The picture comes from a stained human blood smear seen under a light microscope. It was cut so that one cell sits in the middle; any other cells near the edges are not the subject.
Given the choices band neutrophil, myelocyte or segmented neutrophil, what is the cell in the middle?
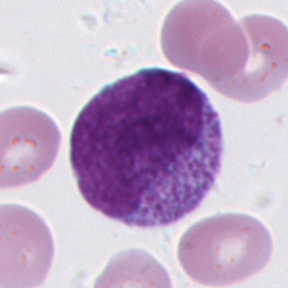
myelocyte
